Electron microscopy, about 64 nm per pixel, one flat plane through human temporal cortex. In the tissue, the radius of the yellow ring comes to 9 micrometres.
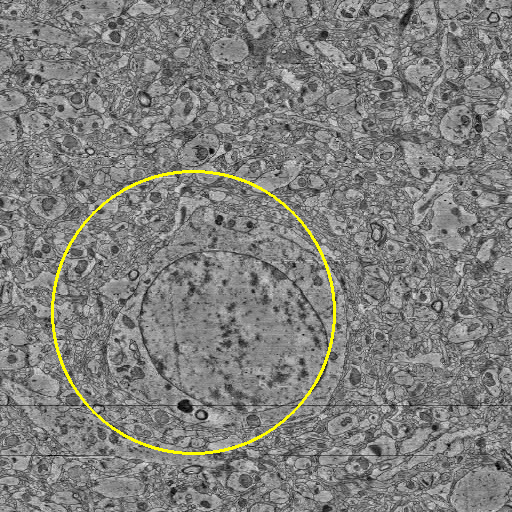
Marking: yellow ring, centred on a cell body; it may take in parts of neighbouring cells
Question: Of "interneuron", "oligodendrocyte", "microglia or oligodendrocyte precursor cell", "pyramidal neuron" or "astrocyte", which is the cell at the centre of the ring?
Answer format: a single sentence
The ring surrounds the body of a pyramidal neuron.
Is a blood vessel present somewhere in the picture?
No, no blood vessel shows in the picture.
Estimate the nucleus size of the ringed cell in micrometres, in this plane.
In this plane the nucleus measures roughly 13 by 10 micrometers.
